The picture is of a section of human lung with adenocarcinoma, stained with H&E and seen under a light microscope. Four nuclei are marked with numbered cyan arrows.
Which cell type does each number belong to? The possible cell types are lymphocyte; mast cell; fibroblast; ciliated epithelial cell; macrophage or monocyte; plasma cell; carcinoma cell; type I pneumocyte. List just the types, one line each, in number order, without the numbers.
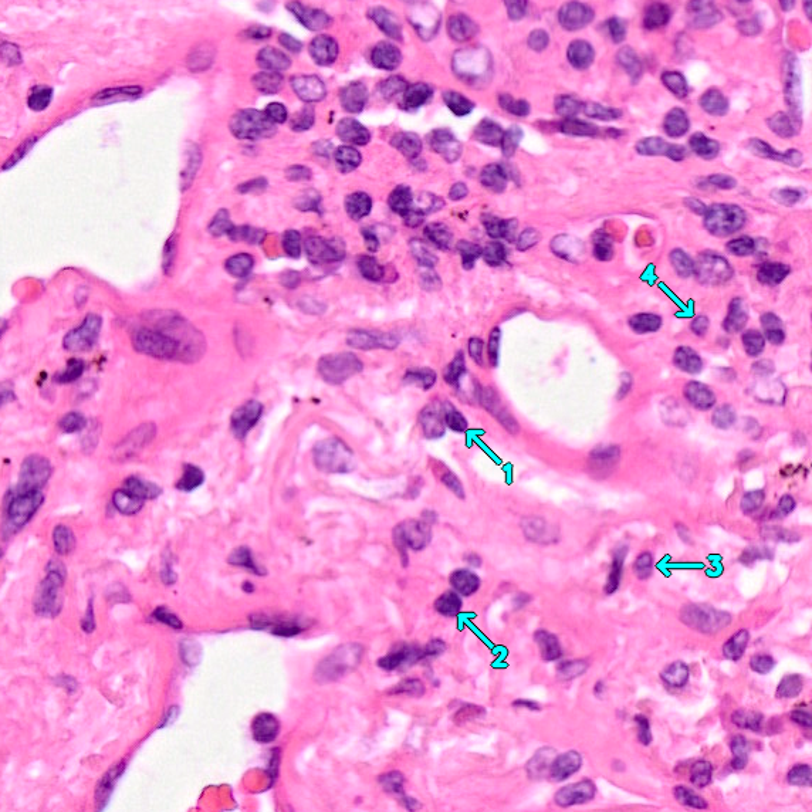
lymphocyte
lymphocyte
mast cell
lymphocyte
